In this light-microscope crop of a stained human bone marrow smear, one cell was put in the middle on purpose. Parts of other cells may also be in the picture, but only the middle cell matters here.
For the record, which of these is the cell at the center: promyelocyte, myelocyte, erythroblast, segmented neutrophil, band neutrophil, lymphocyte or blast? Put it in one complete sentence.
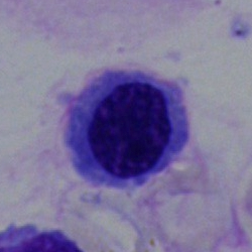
Within this crop, an erythroblast occupies the central position.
